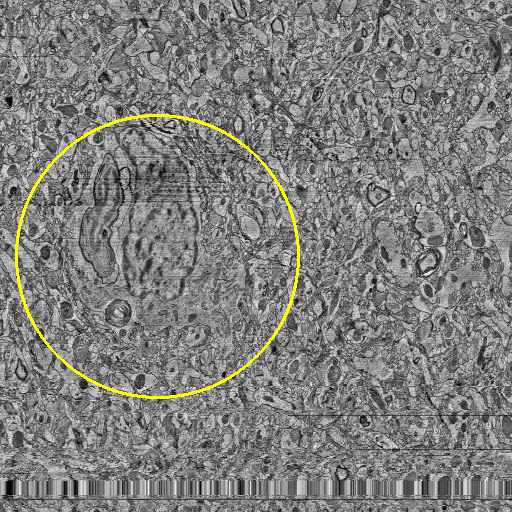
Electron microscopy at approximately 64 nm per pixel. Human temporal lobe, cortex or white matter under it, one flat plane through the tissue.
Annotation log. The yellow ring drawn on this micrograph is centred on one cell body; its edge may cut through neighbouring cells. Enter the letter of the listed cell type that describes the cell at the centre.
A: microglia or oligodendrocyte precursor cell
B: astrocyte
A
